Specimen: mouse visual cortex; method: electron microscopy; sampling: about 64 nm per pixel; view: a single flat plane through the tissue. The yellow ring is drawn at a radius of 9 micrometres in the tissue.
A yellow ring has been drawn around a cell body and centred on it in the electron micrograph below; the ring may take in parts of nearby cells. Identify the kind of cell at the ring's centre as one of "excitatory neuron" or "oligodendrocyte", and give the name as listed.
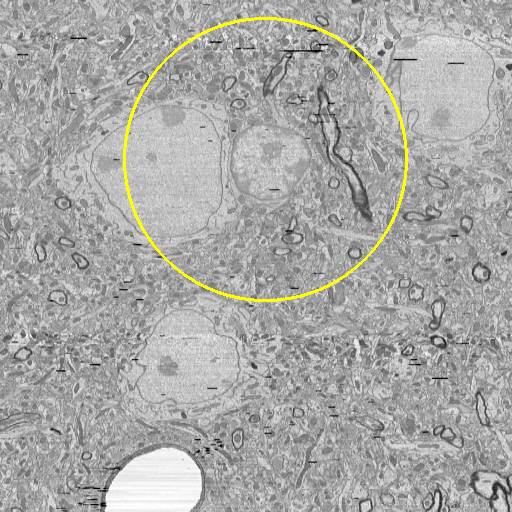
oligodendrocyte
